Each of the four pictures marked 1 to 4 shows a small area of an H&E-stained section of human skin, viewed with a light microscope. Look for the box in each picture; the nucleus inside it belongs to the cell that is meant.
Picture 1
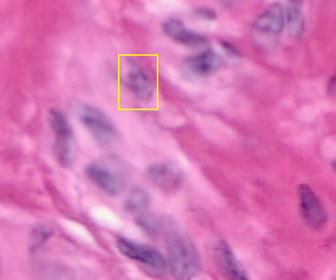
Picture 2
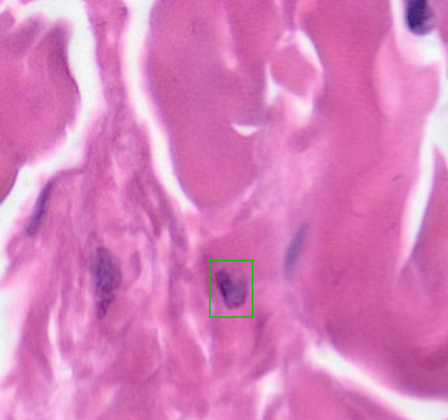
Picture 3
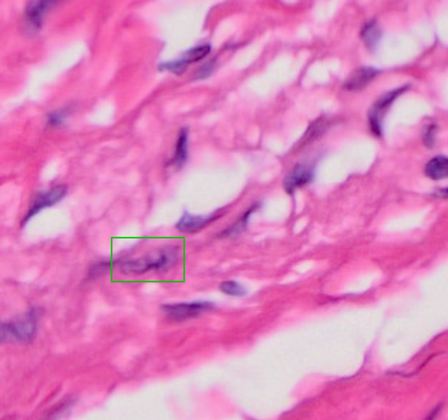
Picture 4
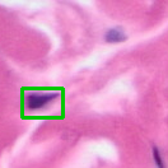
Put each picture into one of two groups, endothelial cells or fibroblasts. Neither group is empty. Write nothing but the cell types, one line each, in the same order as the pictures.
endothelial cell
fibroblast
endothelial cell
fibroblast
